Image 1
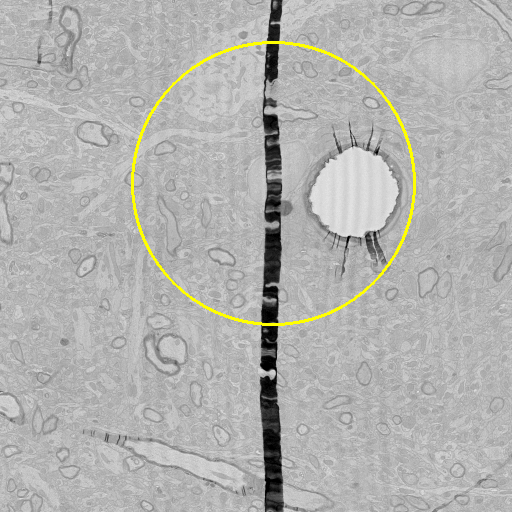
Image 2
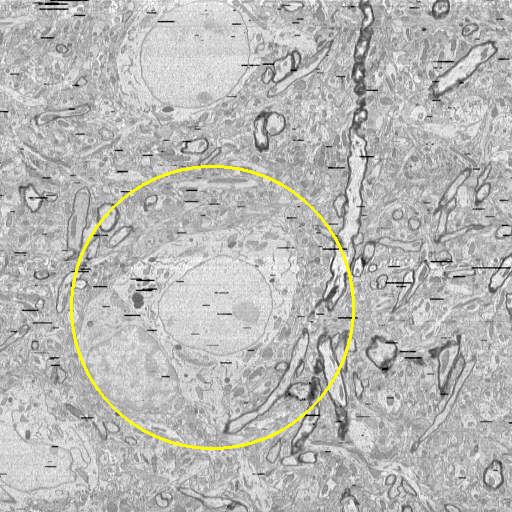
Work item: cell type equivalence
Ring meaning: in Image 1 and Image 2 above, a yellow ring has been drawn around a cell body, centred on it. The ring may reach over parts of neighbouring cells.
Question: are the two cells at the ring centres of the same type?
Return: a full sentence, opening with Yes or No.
No, the two centred cells are of two types.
